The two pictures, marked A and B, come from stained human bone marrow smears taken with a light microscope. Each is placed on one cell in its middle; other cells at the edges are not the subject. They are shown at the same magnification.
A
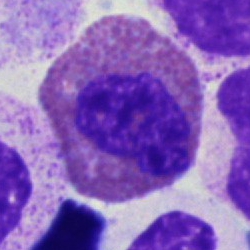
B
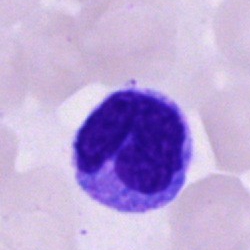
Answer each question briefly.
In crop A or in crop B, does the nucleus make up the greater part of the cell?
B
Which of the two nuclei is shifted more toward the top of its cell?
B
